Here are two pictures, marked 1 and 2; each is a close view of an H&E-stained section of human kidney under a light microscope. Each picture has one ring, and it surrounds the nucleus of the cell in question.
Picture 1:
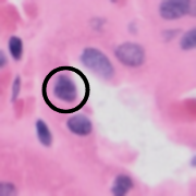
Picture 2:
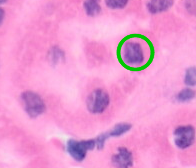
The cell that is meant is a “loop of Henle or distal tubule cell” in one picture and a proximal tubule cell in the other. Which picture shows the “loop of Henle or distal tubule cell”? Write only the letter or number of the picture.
1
